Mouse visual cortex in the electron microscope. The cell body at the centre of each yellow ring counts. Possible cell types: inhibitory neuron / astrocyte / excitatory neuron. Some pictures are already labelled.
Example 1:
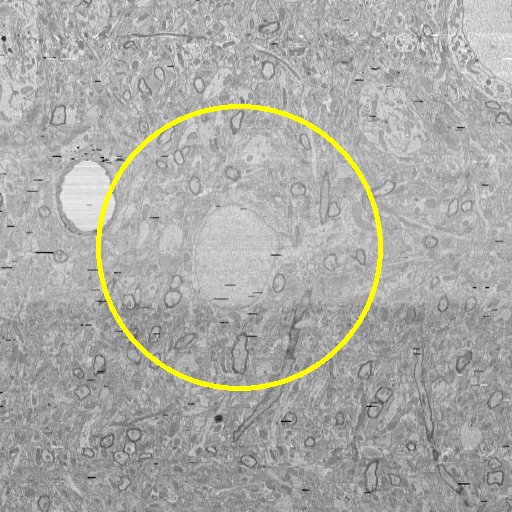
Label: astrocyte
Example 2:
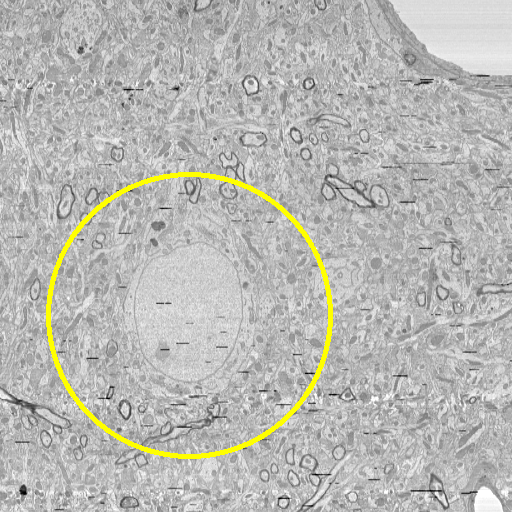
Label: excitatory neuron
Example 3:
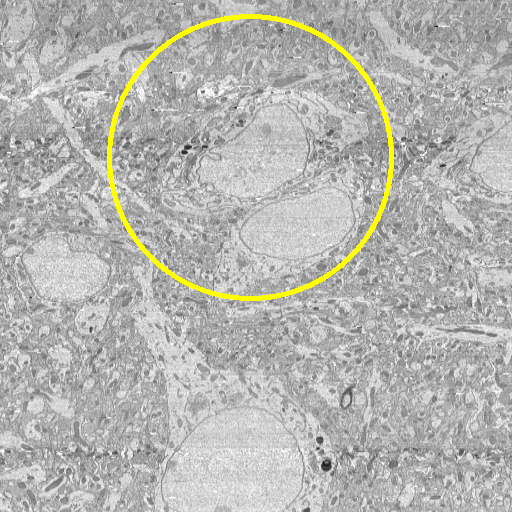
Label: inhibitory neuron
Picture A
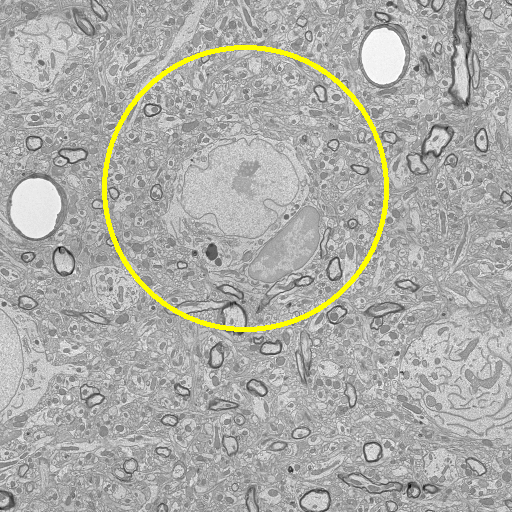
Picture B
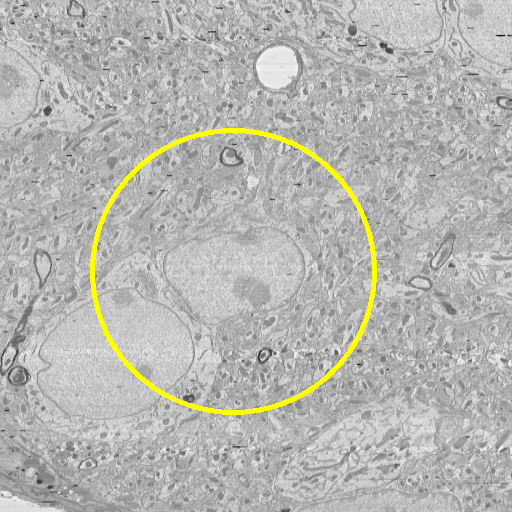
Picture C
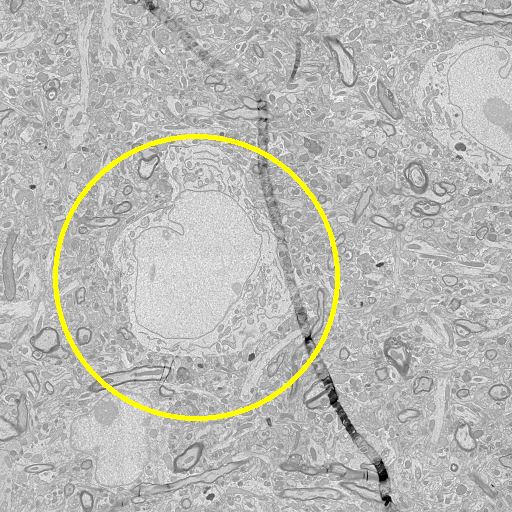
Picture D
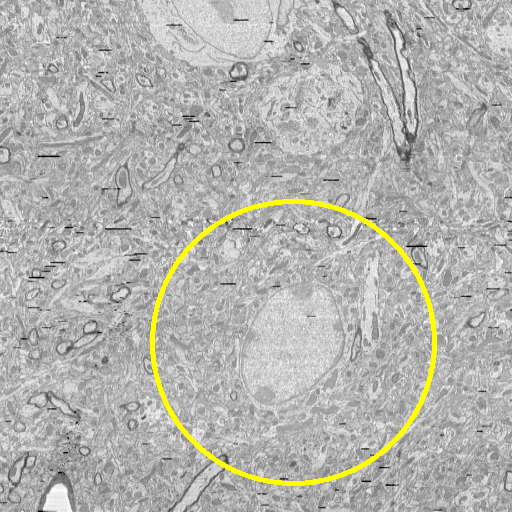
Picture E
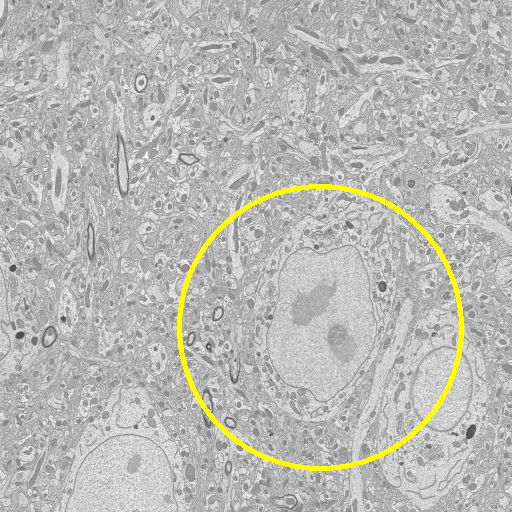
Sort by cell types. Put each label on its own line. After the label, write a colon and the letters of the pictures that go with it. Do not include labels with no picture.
inhibitory neuron: A, C, E
astrocyte: B, D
